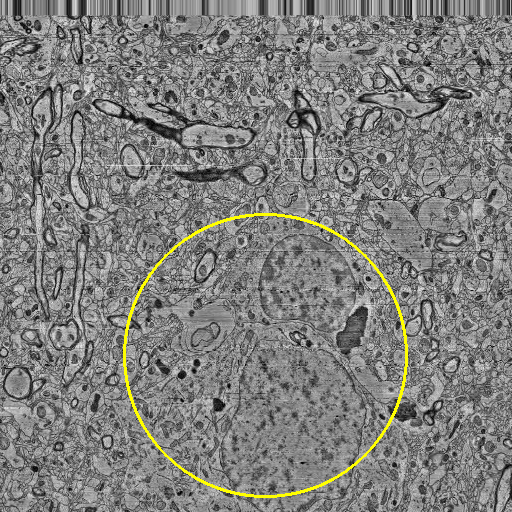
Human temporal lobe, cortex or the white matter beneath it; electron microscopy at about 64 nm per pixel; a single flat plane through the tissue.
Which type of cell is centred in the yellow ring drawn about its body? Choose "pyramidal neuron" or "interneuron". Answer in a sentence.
The yellow ring surrounds the cell body of an interneuron.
